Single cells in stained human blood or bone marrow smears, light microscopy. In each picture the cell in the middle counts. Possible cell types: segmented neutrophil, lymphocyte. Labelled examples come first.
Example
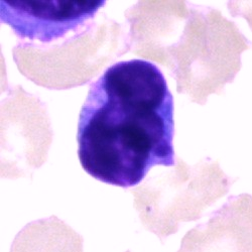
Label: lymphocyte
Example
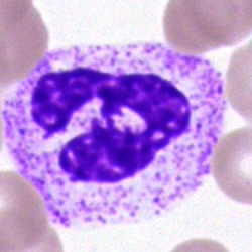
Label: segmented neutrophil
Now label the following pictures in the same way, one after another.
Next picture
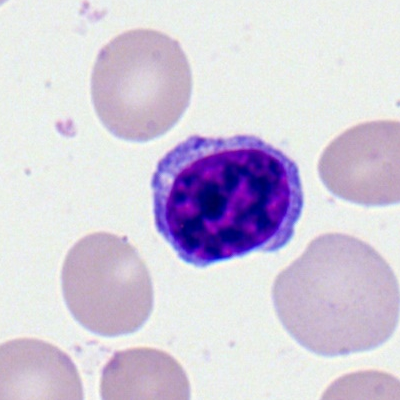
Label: lymphocyte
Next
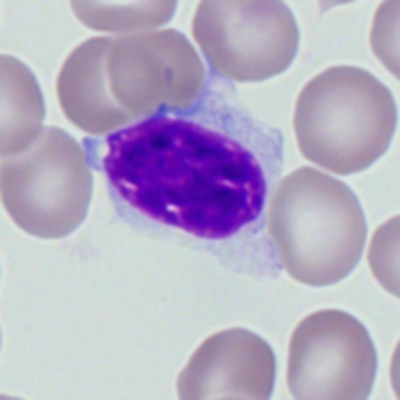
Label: lymphocyte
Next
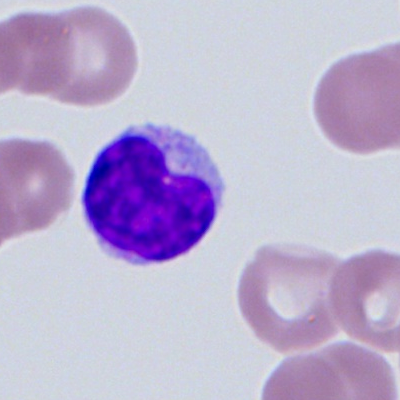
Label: lymphocyte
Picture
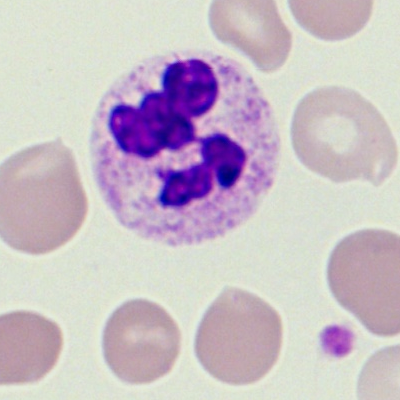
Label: segmented neutrophil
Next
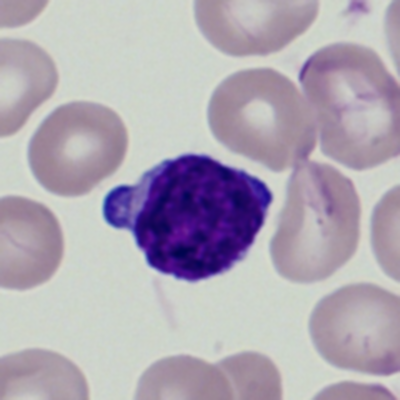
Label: lymphocyte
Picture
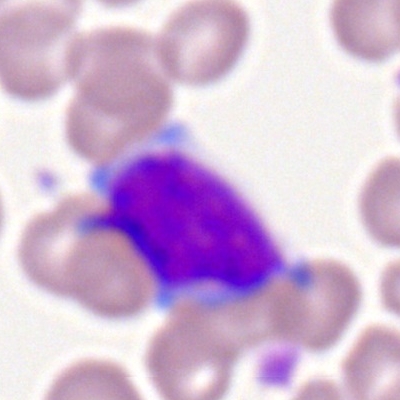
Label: lymphocyte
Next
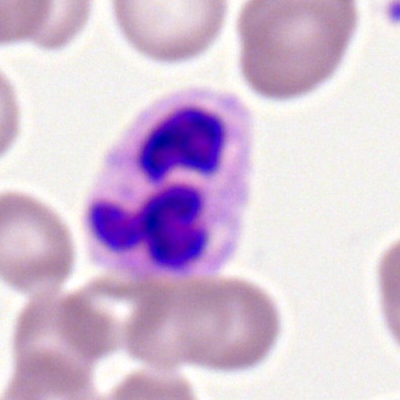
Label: segmented neutrophil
